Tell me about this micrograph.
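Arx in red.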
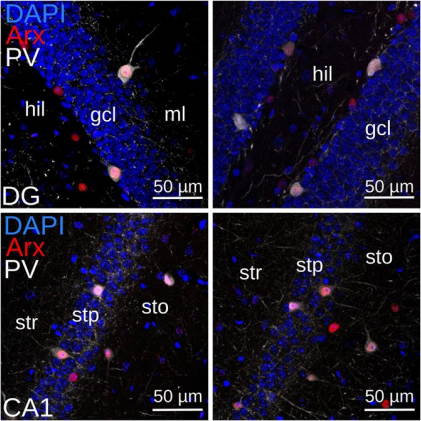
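Fluorescence images of hippocampal cell layers in which a dense band of blue nuclei is crossed by scattered grey-white neuronal somata. Most of the grey-white somata carry a pinkish red nucleus, where red overlaps the white cell body. Additional small red nuclei lie alone, without a white cell body around them, in the hilus and the neighbouring layers. In the lower images, several such somata lie in and around the pyramidal layer among faint white fibres.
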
